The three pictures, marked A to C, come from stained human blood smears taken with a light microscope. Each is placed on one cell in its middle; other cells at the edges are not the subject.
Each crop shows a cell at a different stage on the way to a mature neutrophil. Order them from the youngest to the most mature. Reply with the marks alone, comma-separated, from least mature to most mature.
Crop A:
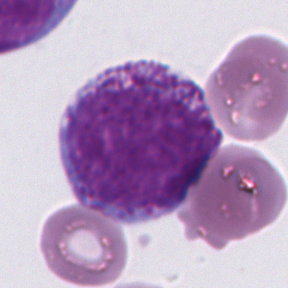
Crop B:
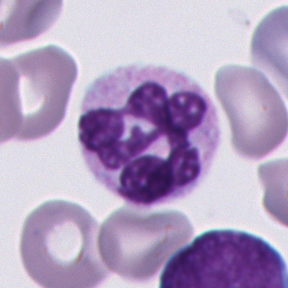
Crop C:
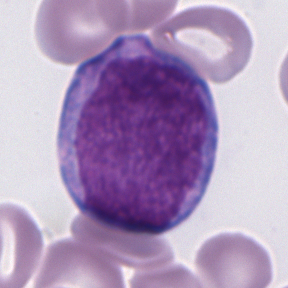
C, A, B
